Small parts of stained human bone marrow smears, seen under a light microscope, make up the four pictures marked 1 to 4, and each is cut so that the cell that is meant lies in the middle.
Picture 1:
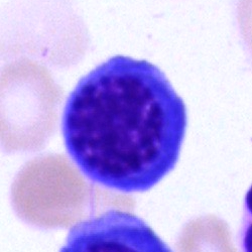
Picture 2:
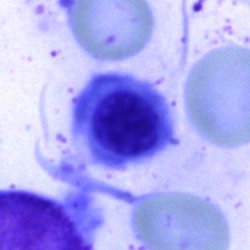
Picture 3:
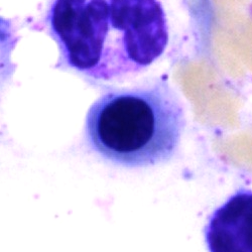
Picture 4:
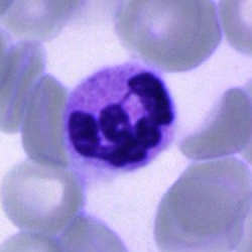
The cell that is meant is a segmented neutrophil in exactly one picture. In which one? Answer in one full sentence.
The cell in picture 4 is the segmented neutrophil.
